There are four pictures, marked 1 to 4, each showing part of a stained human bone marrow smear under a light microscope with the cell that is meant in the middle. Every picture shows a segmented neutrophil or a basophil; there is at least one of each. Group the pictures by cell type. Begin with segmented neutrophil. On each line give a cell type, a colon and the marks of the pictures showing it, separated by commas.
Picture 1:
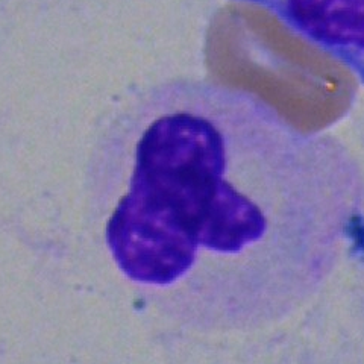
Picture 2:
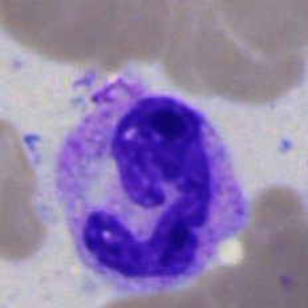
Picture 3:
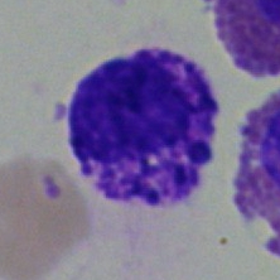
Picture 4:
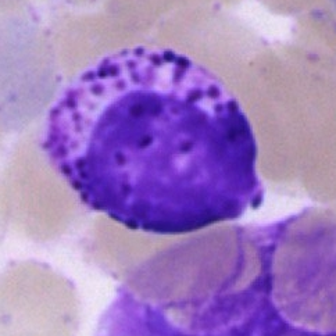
segmented neutrophil: 1, 2
basophil: 3, 4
